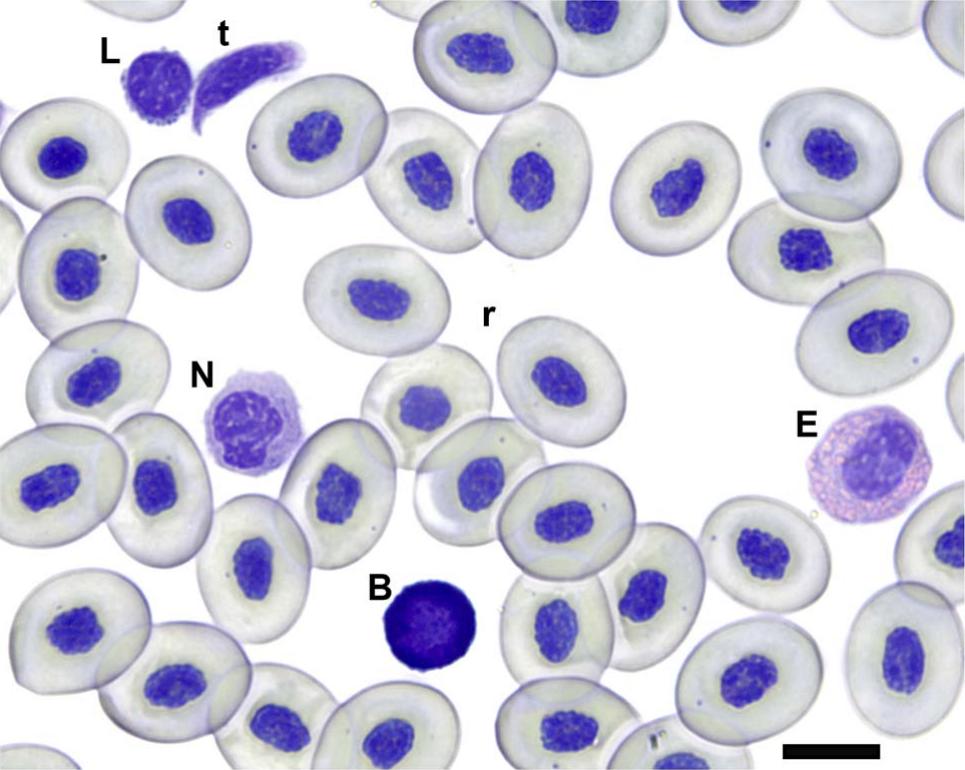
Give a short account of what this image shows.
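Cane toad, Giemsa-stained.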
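This is an amphibian blood smear dominated by oval, nucleated erythrocytes, each with pale grey cytoplasm and a central, oval, dark purple nucleus with clumped chromatin. Scattered among them are a few leukocytes: a neutrophil with a lobed or irregular nucleus and pale lilac cytoplasm, an eosinophil whose cytoplasm is filled with pinkish granules around an eccentric nucleus, and a small round basophil so densely packed with dark purple granules that its nucleus is hard to make out. Near the top lie a small round lymphocyte with a dense nucleus and scant cytoplasm, and an elongated, spindle-shaped thrombocyte with a deeply stained nucleus.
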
